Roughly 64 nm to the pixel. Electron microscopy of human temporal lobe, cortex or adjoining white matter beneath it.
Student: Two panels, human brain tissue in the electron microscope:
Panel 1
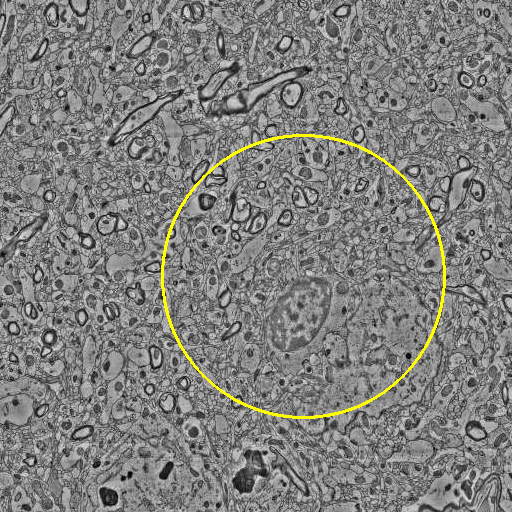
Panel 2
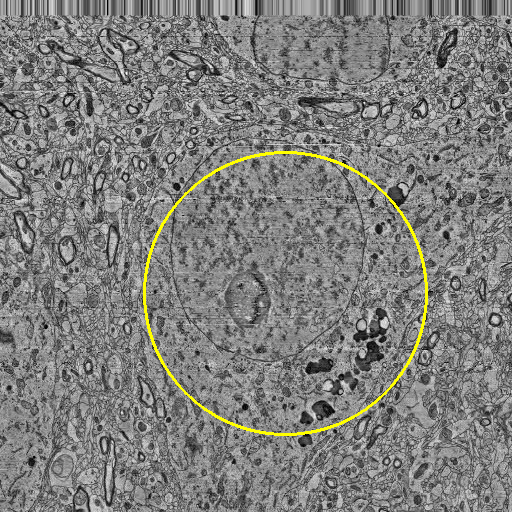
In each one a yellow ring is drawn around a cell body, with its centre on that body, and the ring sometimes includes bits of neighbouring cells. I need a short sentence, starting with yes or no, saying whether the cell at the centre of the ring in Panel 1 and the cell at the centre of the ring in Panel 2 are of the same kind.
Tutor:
No, they are two kinds of cell.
